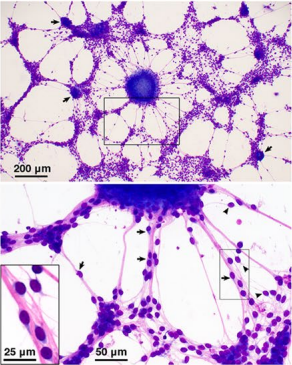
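In the upper image a dense dark blue sphere sits in the centre, with fibre bundles radiating from it toward smaller dark clusters, and the strands enclose open, cell-free spaces. In the lower image the pink neurites leaving the sphere are lined by elongated glial cells with oval purple nuclei, some lying along the fibres and some spanning between them.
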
